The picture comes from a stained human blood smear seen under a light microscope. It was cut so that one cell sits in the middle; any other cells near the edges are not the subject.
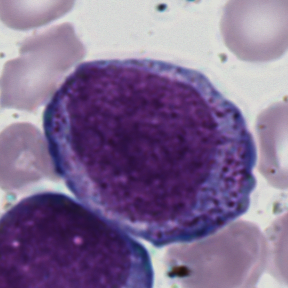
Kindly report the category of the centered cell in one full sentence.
The center cell of this crop is a promyelocyte.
